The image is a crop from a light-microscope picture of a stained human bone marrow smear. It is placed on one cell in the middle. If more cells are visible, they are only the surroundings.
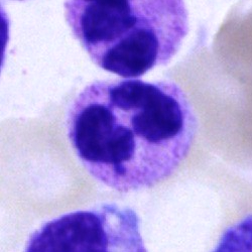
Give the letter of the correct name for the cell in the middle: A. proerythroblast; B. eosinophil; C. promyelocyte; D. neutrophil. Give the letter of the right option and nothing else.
D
